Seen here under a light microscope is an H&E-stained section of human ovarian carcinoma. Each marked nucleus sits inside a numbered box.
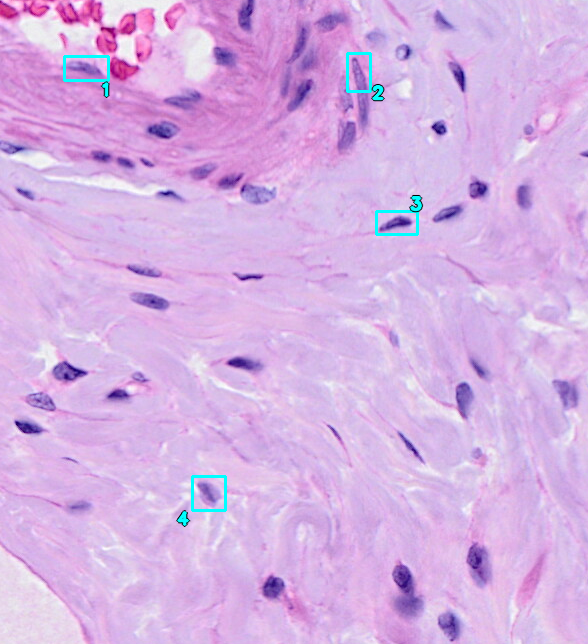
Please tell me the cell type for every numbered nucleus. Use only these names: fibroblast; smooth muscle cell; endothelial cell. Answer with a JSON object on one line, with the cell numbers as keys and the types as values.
{"1": "endothelial cell", "2": "smooth muscle cell", "3": "fibroblast", "4": "fibroblast"}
